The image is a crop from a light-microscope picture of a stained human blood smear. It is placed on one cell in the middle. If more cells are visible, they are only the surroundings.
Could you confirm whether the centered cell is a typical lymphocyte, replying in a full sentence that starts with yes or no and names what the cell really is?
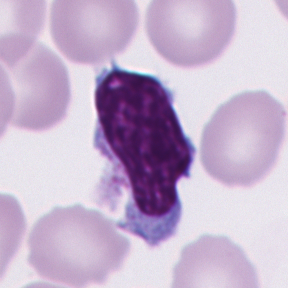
Yes, the cell sitting in the middle of this smear crop is a typical lymphocyte.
